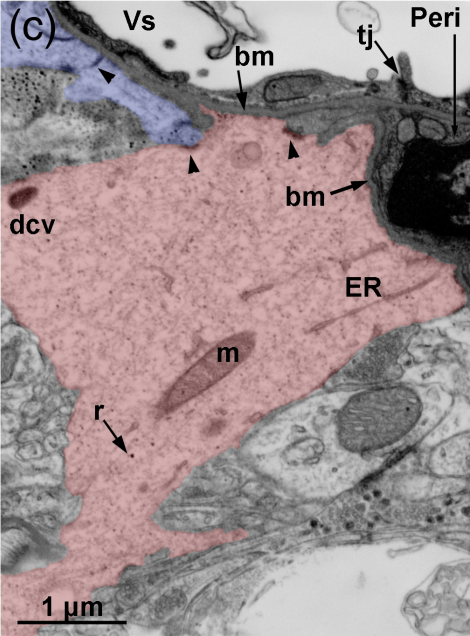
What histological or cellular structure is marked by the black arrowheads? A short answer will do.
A: Junctional complexes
